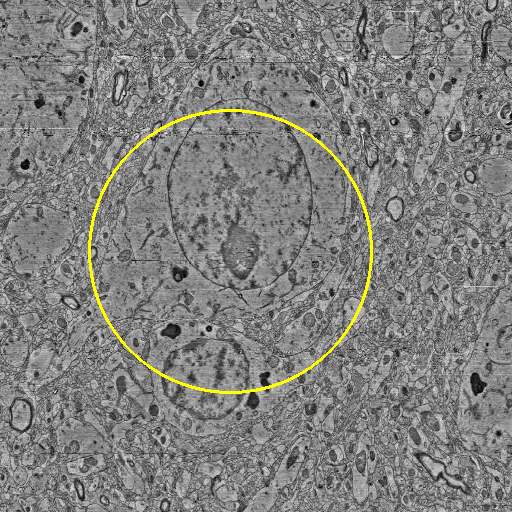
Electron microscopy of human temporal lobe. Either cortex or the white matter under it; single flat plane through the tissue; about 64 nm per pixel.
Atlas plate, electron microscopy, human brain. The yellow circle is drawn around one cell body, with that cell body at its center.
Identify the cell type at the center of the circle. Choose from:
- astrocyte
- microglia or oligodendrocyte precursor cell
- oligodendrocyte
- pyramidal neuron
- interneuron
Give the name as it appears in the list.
pyramidal neuron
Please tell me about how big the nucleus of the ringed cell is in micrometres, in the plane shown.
The nucleus works out at approximately 13 by 9 micrometres in this plane.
